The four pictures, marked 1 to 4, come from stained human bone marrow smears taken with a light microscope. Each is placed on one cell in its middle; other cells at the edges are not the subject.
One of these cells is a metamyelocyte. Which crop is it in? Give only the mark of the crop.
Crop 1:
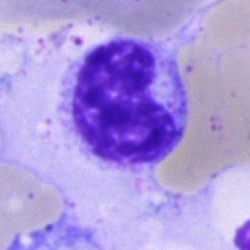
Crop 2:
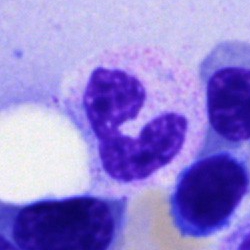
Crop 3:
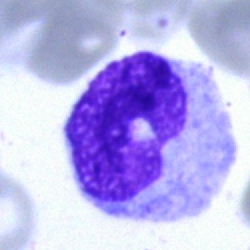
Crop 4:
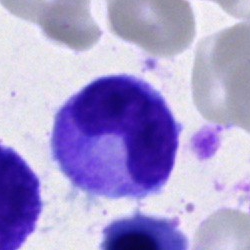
1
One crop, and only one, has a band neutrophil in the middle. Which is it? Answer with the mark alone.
4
